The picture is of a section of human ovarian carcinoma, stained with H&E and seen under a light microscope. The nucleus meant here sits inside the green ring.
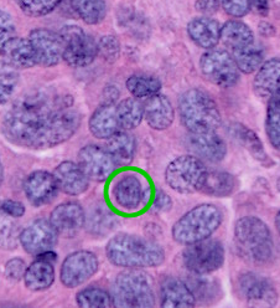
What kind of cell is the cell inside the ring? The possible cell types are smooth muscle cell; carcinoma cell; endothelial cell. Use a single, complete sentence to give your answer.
It is a carcinoma cell that the cell inside the ring represents.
